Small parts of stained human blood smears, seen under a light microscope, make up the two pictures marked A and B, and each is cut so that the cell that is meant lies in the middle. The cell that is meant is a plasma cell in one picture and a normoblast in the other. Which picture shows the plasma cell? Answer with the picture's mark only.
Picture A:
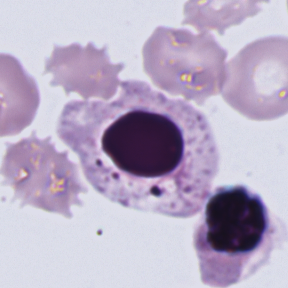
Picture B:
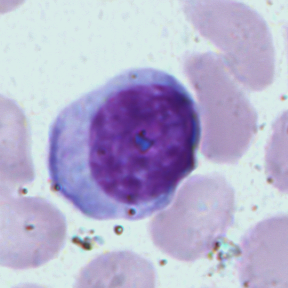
B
